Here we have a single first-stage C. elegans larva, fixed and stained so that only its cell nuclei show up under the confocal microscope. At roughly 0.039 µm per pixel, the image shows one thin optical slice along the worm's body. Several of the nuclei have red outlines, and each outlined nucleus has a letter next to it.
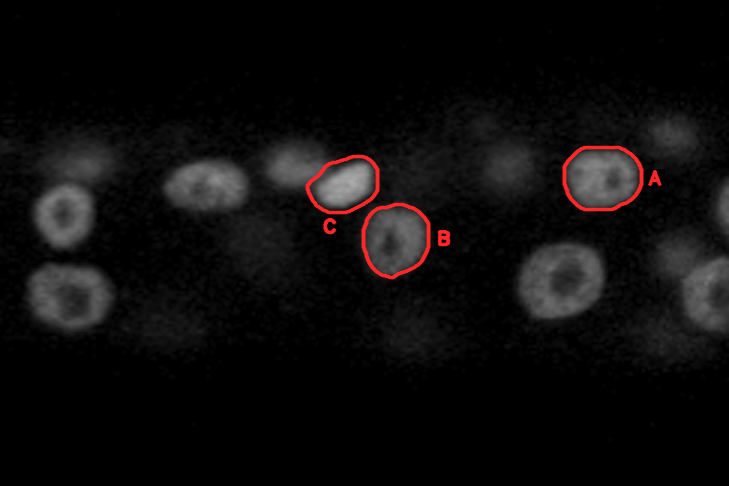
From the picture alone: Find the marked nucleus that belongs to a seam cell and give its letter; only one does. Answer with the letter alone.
B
